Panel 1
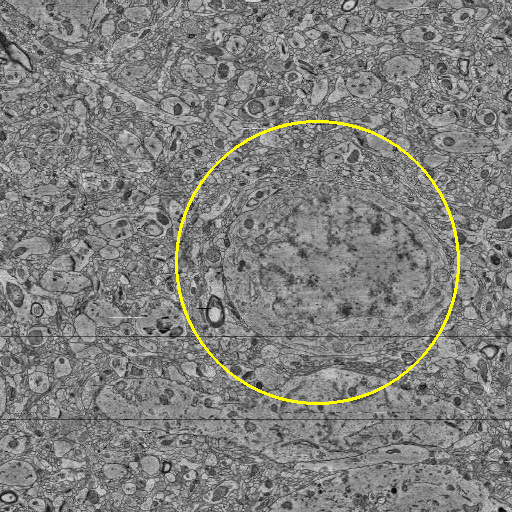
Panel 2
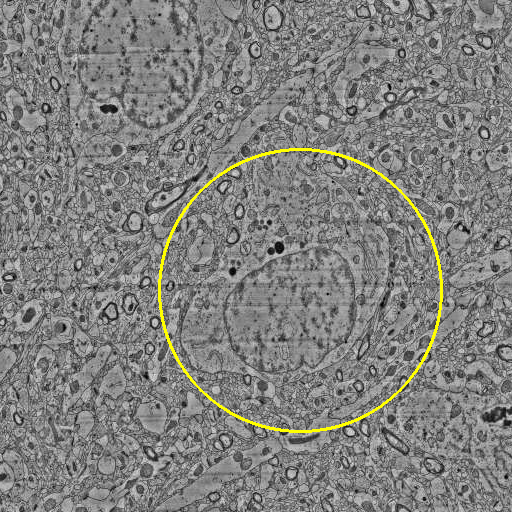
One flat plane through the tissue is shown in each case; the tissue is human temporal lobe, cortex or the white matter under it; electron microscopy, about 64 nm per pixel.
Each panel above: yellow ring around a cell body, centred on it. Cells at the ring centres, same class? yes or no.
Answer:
yes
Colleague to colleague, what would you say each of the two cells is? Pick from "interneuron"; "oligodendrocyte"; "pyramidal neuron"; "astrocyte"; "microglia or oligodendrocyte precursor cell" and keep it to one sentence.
The ring centre holds an interneuron in each of the two pictures.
